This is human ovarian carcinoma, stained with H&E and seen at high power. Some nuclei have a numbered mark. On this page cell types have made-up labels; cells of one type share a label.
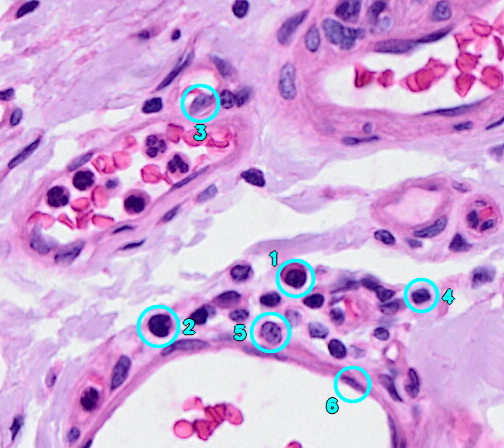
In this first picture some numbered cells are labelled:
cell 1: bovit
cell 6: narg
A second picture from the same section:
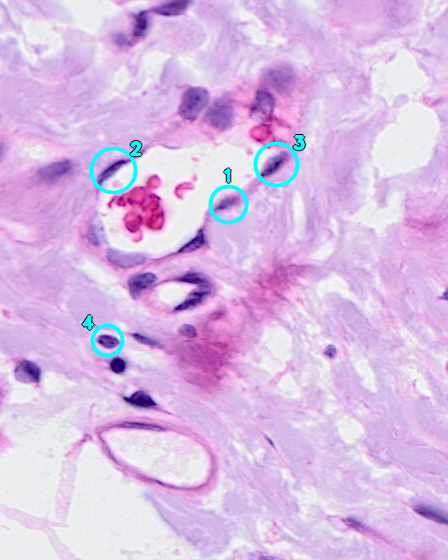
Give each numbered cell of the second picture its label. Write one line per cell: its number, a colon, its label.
1: narg
2: narg
3: narg
4: bovit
